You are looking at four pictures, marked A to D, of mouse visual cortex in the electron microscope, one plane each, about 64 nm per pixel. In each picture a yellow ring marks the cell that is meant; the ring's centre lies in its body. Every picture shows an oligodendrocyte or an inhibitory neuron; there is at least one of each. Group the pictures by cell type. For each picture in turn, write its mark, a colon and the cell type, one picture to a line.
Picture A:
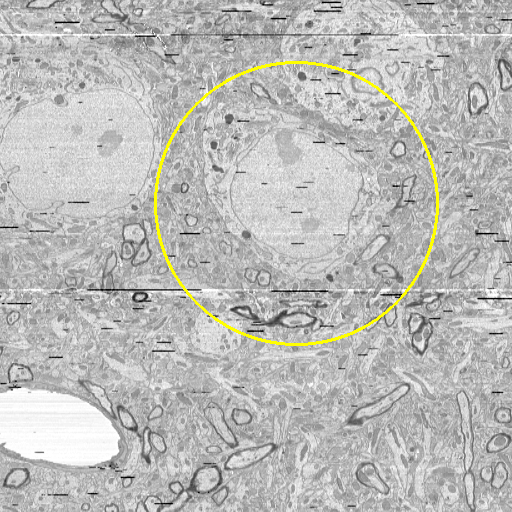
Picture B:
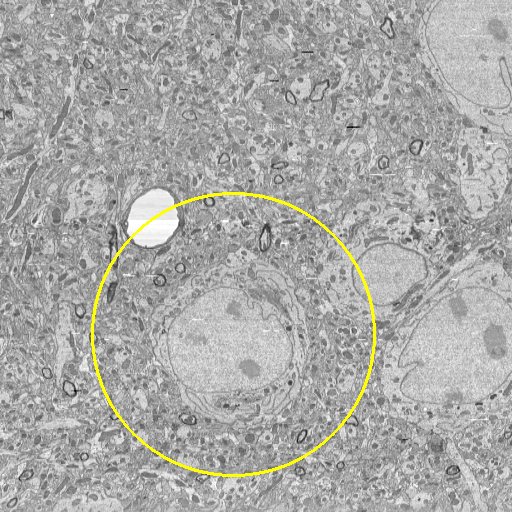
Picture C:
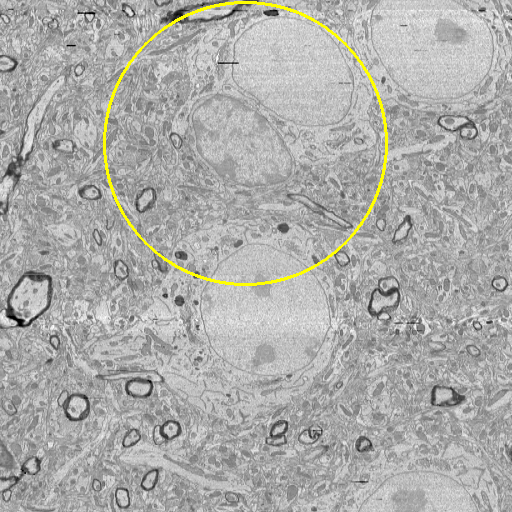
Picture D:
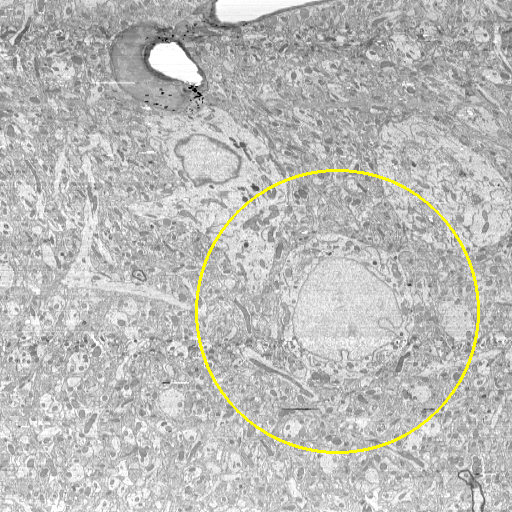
A: inhibitory neuron
B: inhibitory neuron
C: oligodendrocyte
D: inhibitory neuron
